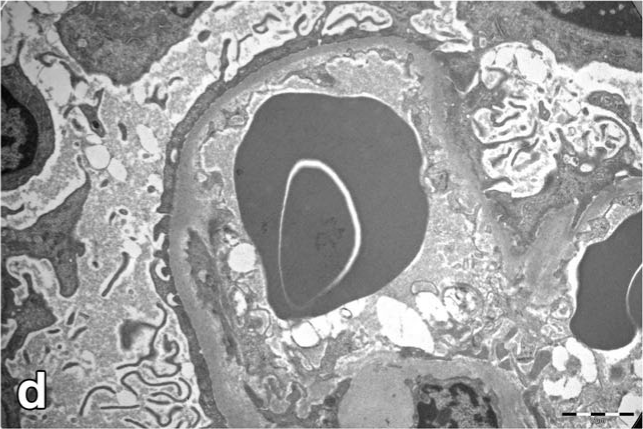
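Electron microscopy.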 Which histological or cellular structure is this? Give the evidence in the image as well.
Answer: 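A capillary loop containing dense red cells is bounded by a grey membrane of uneven thickness. The membrane is wide and layered in parts. So: irregular glomerular basement membrane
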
